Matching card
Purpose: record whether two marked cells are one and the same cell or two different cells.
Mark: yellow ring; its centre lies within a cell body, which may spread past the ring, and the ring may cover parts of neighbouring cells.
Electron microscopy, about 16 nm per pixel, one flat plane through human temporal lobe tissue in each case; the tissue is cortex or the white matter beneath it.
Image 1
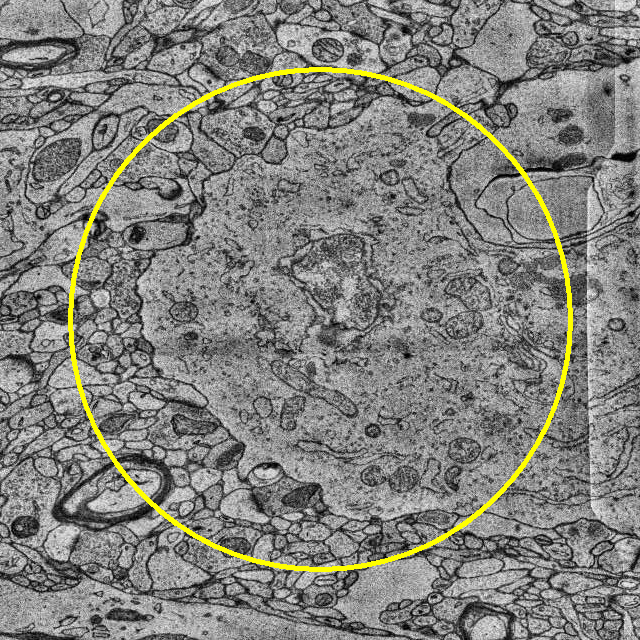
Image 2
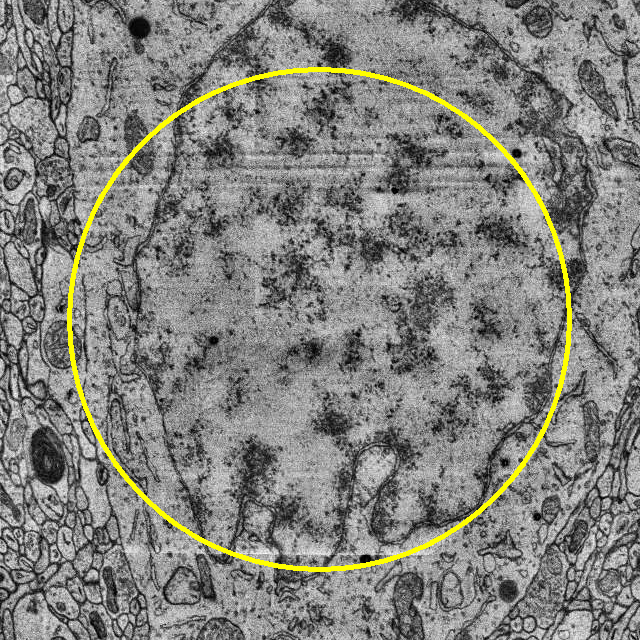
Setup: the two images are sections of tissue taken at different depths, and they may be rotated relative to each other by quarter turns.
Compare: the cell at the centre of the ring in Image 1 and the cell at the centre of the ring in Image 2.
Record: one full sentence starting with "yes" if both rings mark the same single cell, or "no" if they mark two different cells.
No, the cells inside the two rings are not the same cell.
